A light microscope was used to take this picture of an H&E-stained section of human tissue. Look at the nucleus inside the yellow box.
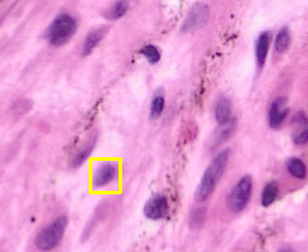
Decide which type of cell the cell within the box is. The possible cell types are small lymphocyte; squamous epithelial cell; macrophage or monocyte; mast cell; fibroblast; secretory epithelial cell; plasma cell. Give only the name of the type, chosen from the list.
fibroblast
